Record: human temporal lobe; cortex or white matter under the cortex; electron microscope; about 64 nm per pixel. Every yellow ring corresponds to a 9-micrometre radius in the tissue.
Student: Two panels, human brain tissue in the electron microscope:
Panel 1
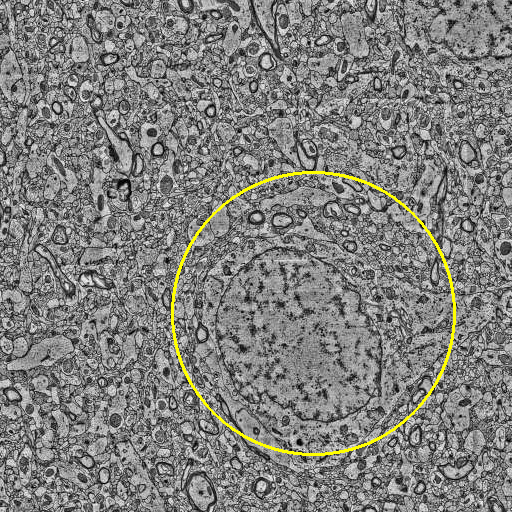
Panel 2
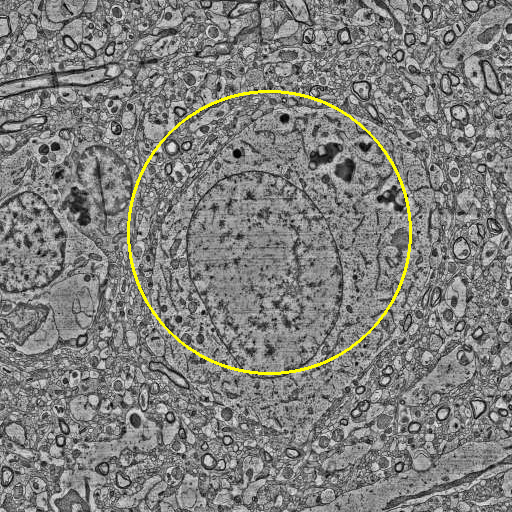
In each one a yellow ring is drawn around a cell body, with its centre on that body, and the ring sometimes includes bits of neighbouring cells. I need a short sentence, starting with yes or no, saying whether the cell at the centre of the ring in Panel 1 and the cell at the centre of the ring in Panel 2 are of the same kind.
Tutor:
Yes, they are the same kind of cell.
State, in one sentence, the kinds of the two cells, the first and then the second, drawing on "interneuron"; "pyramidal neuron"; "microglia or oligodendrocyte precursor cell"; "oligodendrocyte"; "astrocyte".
Each cell, in the first picture and the second, is a pyramidal neuron.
